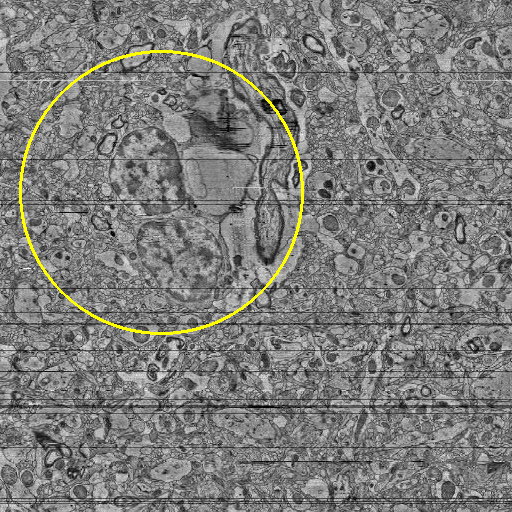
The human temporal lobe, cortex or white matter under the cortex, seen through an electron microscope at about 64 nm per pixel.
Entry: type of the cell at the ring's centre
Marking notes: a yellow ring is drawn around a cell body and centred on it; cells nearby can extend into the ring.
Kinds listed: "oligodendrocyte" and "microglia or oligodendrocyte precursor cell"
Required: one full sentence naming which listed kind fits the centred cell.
My entry names a microglial cell or oligodendrocyte precursor cell as the cell whose body the yellow ring centres on.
